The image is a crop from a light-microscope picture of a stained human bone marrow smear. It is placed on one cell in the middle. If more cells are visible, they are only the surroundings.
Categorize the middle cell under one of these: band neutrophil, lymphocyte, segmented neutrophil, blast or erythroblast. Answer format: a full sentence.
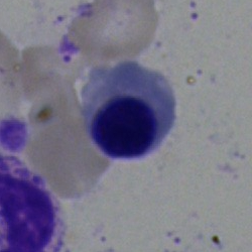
This crop is built around an erythroblast at its centre.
